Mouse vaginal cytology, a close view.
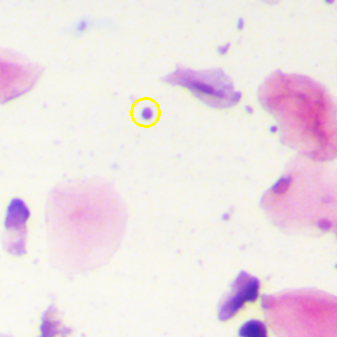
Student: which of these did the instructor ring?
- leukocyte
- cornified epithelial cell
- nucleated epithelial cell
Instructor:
The cell I ringed is a leukocyte.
